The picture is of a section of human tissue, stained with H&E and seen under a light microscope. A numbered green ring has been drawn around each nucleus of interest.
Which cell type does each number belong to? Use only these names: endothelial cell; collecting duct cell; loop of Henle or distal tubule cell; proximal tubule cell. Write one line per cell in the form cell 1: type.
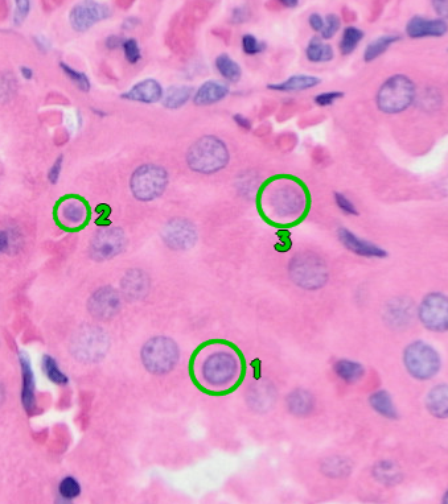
cell 1: proximal tubule cell
cell 2: endothelial cell
cell 3: proximal tubule cell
